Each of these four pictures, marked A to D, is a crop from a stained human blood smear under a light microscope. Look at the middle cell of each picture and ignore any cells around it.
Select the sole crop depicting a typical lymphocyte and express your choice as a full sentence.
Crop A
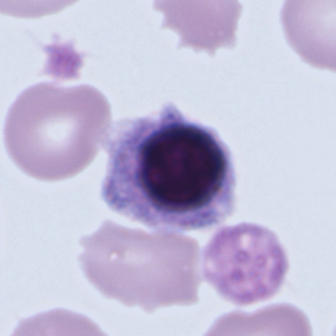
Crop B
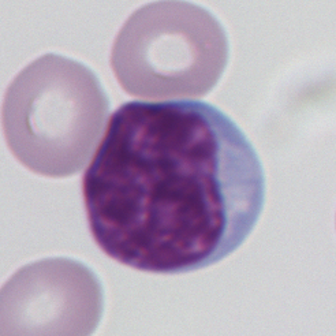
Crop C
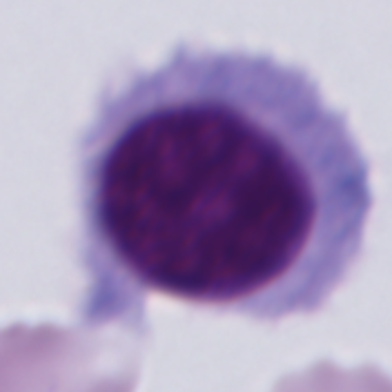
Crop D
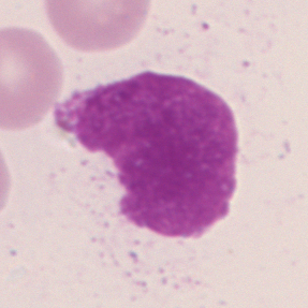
Crop B is the crop whose central cell is a typical lymphocyte.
